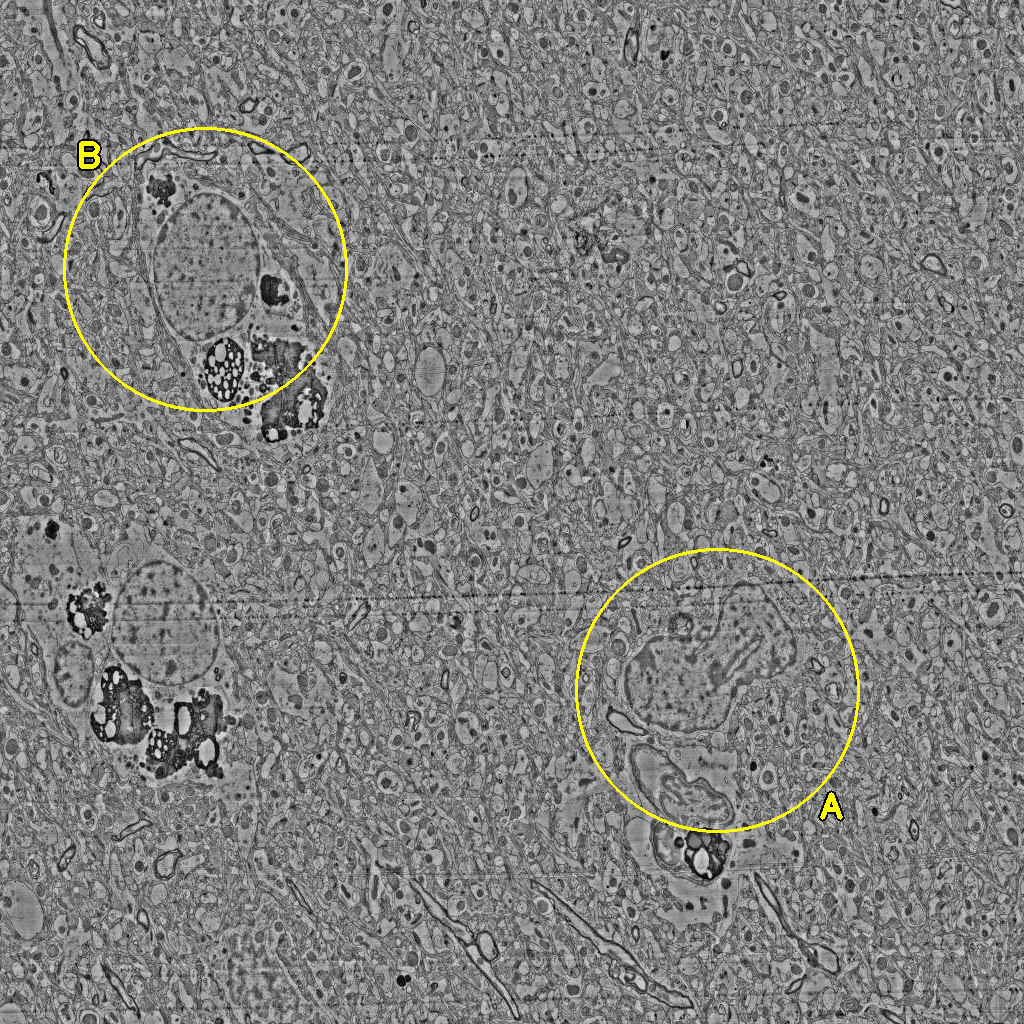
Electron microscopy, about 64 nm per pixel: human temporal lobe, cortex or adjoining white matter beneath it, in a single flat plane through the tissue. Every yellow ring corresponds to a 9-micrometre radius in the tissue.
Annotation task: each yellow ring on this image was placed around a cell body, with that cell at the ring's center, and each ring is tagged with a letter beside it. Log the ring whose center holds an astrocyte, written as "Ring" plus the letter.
Ring B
